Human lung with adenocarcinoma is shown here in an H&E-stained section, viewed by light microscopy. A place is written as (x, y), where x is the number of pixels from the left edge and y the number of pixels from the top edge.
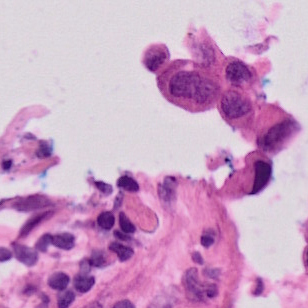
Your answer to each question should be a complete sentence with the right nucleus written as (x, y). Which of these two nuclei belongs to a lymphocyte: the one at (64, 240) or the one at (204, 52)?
The nucleus that sits at (64, 240) is the nucleus of a lymphocyte.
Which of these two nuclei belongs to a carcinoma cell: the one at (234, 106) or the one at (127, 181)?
The nucleus contained in a carcinoma cell is the one at (234, 106).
